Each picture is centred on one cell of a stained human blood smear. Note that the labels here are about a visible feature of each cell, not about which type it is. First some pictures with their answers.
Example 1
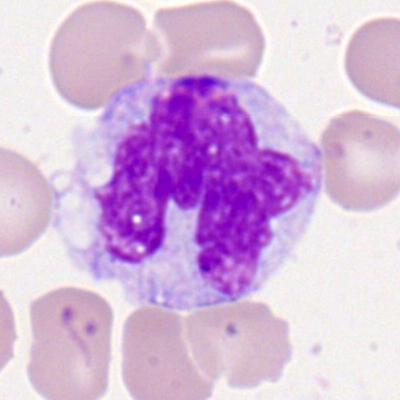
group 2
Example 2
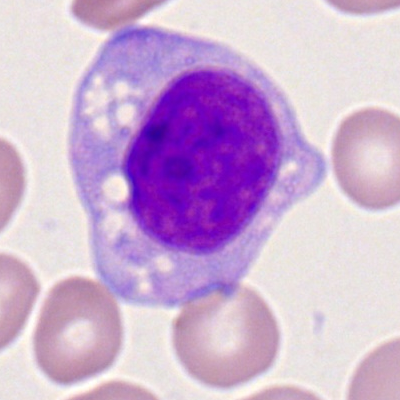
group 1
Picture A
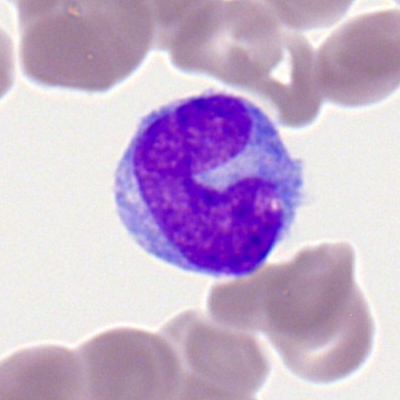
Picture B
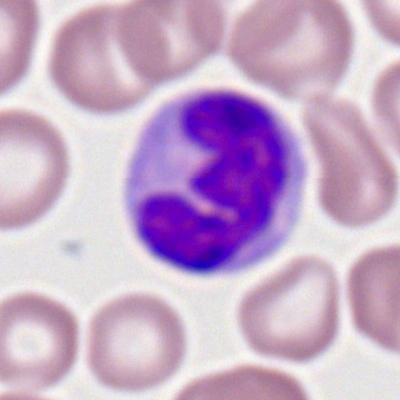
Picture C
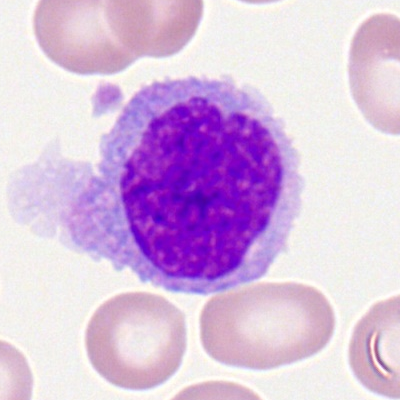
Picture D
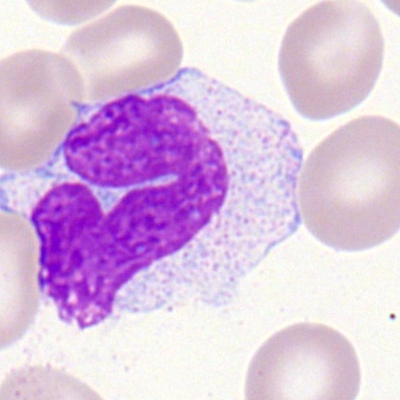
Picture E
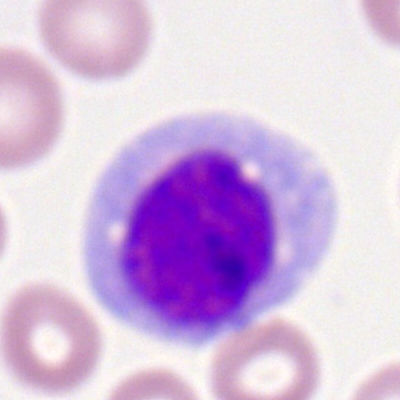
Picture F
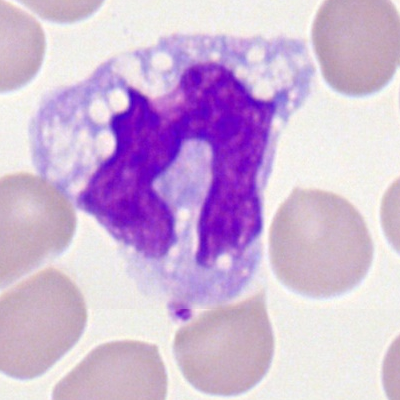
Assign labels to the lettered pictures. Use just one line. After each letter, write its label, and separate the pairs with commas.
A group 2, B group 2, C group 1, D group 2, E group 1, F group 2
